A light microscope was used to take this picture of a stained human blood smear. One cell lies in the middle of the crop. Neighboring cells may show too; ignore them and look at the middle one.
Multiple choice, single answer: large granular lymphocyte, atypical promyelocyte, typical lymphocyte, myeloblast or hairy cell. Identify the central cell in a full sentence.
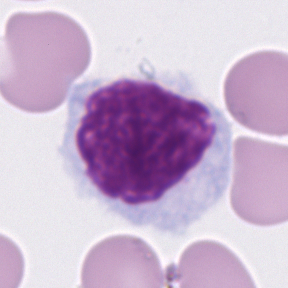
In the centre of this crop there is a hairy cell.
